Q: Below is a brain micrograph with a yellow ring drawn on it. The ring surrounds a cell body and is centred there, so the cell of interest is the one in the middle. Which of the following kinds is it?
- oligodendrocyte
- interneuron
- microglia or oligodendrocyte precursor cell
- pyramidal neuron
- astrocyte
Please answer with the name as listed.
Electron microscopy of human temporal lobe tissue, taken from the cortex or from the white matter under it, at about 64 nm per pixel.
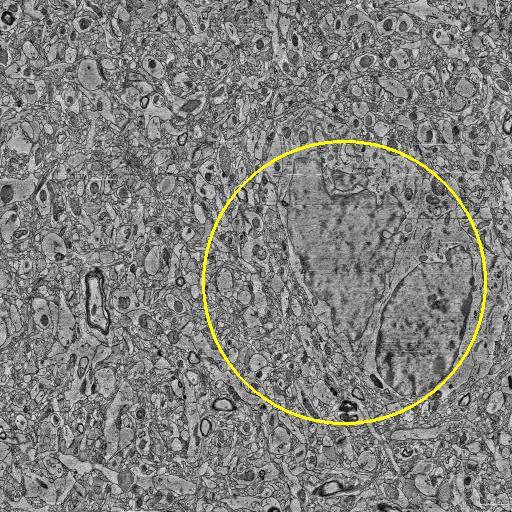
interneuron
